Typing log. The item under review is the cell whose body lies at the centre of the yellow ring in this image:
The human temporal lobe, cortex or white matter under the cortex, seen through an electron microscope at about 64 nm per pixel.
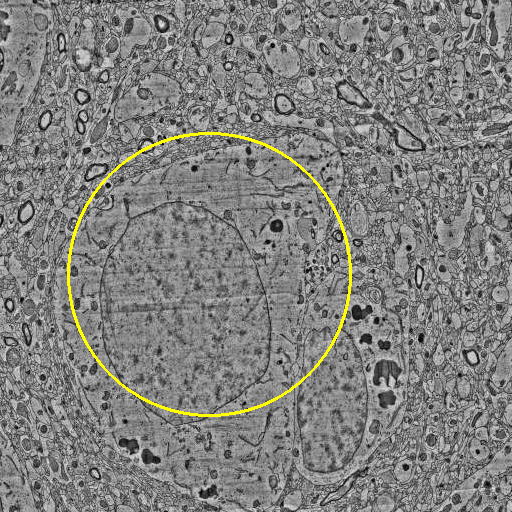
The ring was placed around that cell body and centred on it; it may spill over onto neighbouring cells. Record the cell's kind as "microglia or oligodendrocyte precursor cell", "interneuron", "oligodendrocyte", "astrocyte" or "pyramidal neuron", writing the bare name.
pyramidal neuron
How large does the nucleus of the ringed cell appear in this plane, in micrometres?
About 14 by 11 micrometers, in this plane.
